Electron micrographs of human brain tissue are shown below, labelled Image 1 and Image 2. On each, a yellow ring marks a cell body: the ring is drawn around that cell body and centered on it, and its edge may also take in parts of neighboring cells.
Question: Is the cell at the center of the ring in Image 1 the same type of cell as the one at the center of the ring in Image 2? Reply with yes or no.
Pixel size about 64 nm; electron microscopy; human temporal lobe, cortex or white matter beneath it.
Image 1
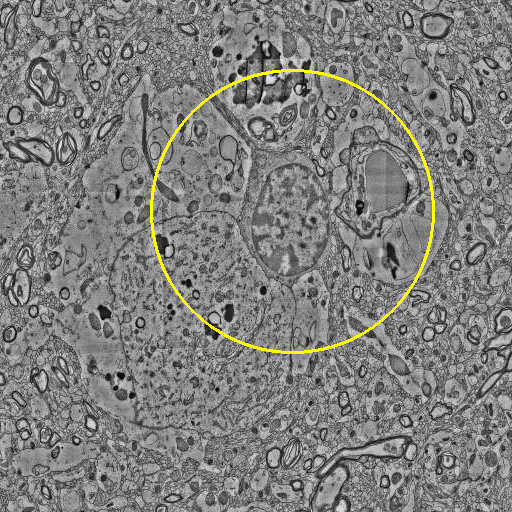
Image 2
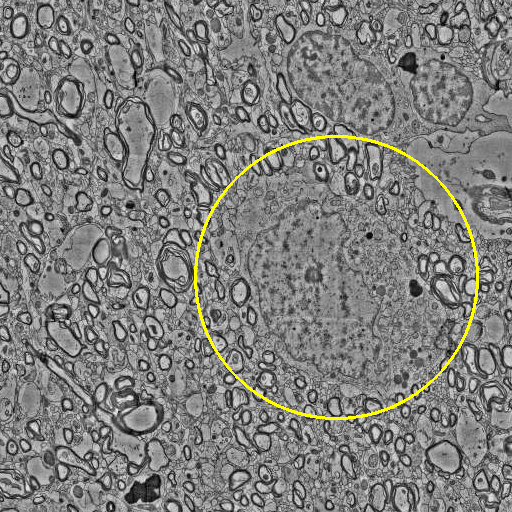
no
